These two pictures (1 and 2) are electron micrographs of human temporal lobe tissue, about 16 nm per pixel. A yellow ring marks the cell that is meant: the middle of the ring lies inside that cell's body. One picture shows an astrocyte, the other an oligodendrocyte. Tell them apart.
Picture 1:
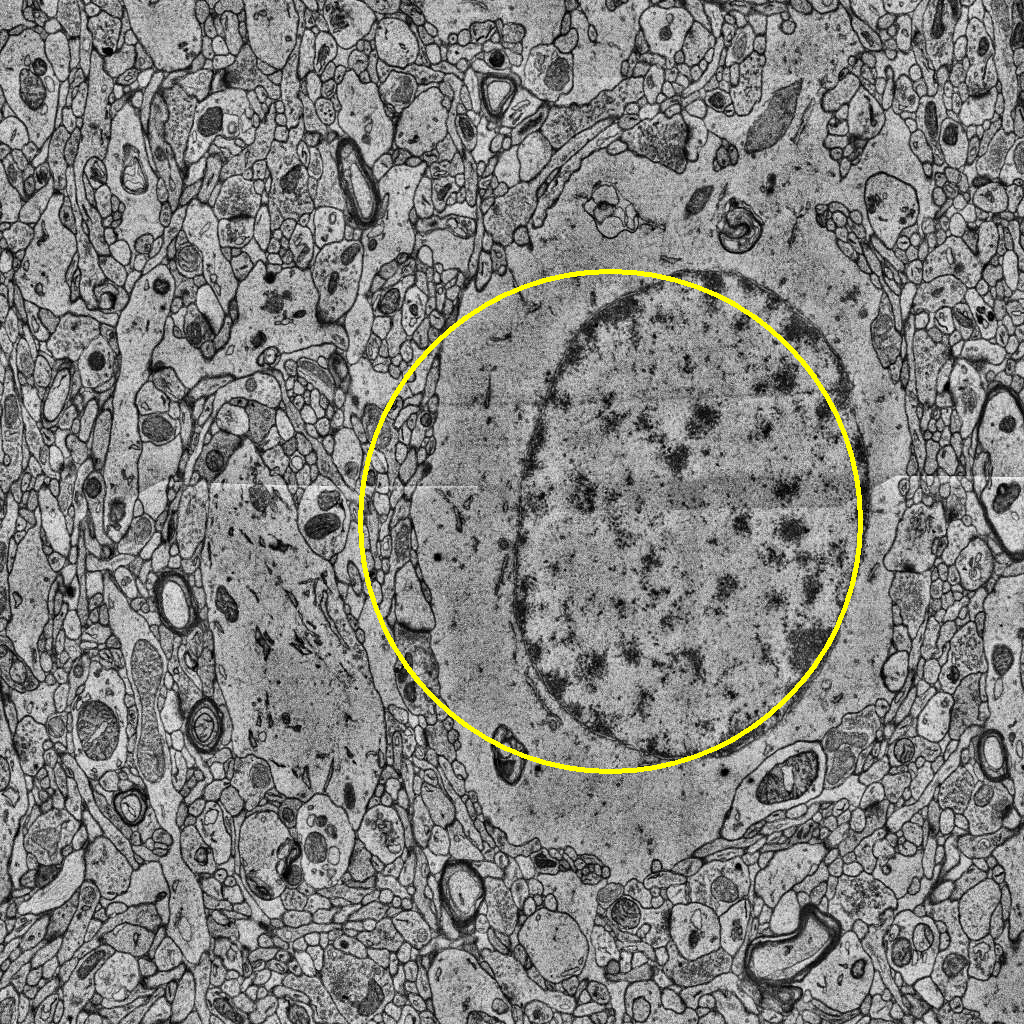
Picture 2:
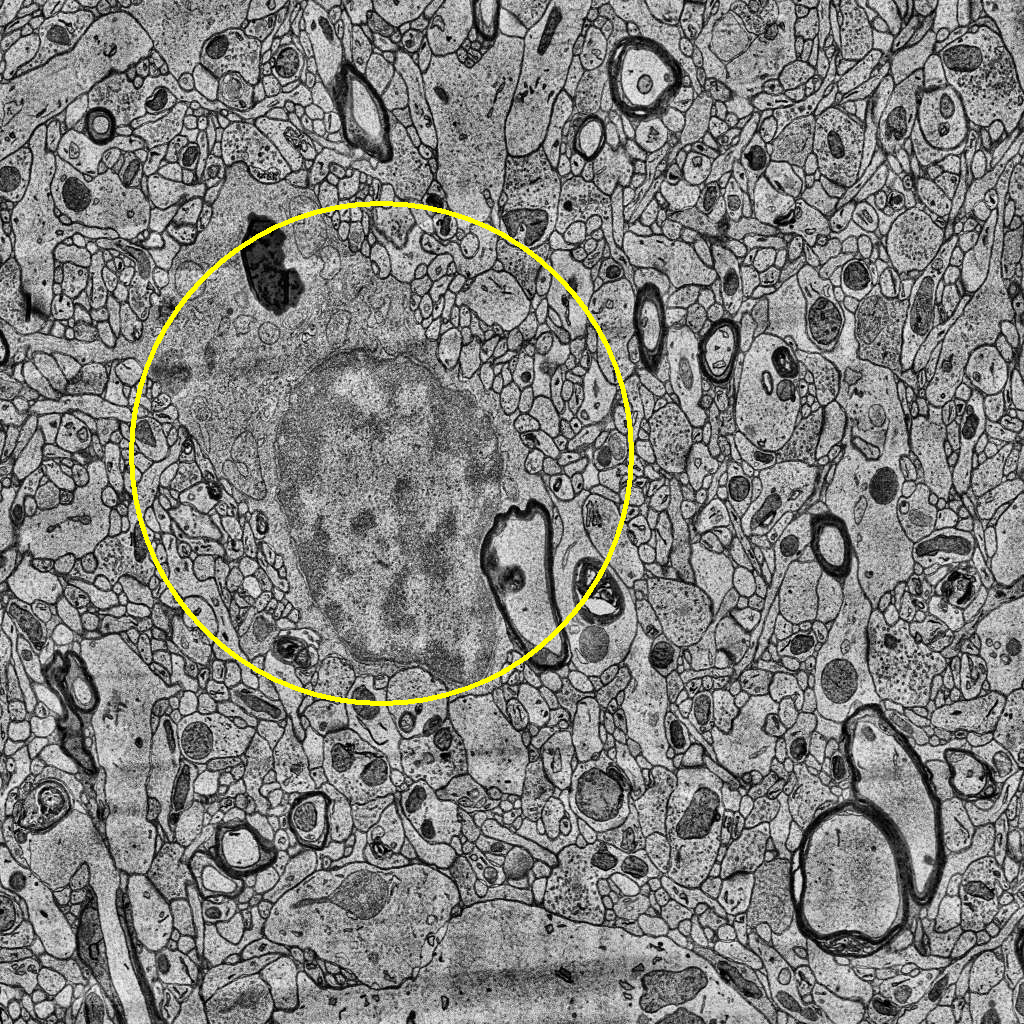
Picture 1 is of an astrocyte, and picture 2 is of an oligodendrocyte.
